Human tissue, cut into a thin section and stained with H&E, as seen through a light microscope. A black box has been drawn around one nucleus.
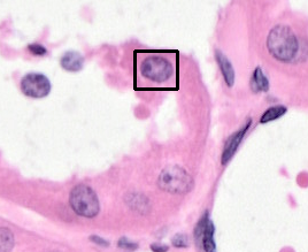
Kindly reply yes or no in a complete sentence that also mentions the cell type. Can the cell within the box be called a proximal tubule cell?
Yes, the claim that the cell within the box is a proximal tubule cell holds true.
